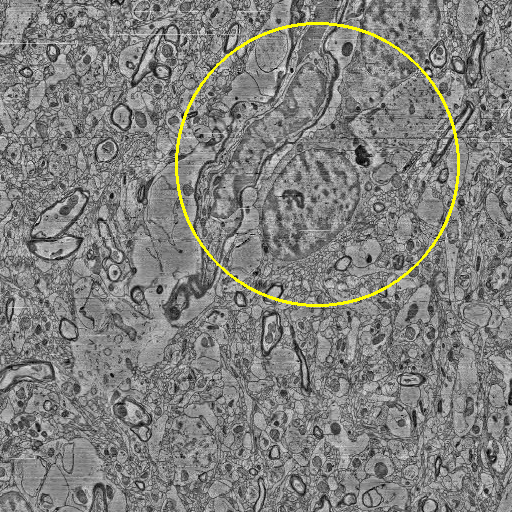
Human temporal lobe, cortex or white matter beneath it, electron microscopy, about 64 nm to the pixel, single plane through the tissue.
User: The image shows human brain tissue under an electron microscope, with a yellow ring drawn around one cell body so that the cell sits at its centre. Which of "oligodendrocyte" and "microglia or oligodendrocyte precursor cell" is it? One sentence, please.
At the centre of the ring sits an oligodendrocyte.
